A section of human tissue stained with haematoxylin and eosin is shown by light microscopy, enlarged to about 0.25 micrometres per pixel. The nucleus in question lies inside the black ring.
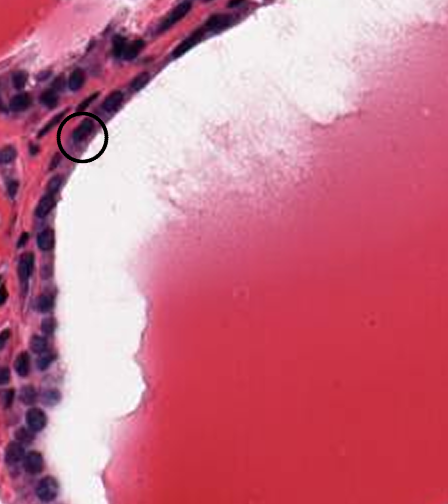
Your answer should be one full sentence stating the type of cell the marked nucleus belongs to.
The marked nucleus is one that belongs to a thyroid follicular cell.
